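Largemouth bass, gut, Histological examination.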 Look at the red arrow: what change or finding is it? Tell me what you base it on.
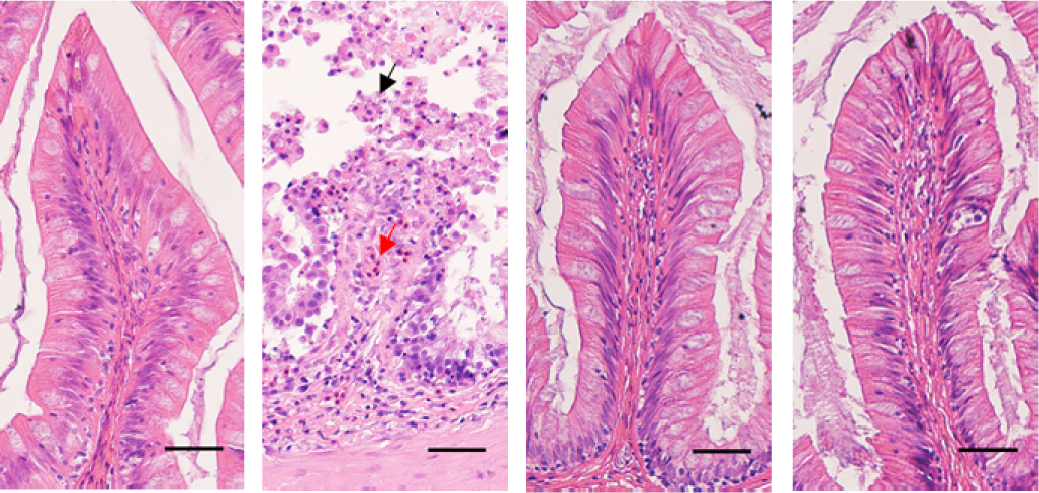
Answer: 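The red arrow points to small red-staining cells within the core of the mucosal fold. That points to this answer: erythrocyte infiltration.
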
